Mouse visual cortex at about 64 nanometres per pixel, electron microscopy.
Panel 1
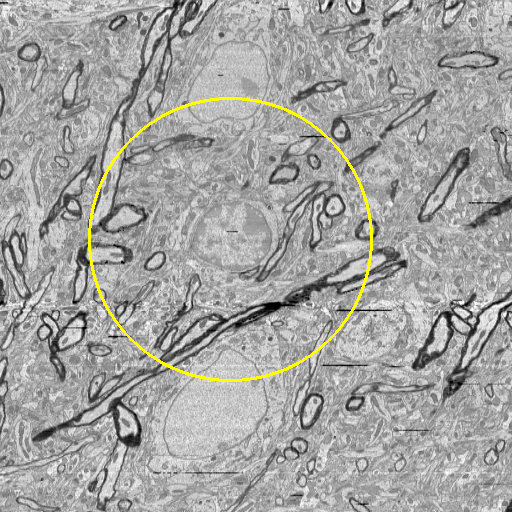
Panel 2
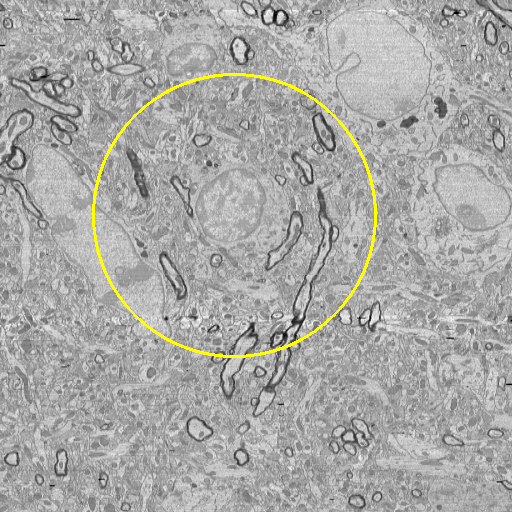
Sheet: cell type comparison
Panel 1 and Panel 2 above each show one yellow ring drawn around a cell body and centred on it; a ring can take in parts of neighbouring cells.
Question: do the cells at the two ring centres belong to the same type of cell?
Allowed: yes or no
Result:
yes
